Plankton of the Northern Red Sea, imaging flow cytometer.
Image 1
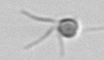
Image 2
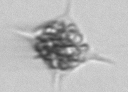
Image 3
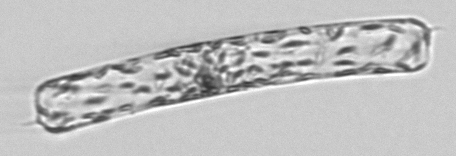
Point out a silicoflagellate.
That is picture 2.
